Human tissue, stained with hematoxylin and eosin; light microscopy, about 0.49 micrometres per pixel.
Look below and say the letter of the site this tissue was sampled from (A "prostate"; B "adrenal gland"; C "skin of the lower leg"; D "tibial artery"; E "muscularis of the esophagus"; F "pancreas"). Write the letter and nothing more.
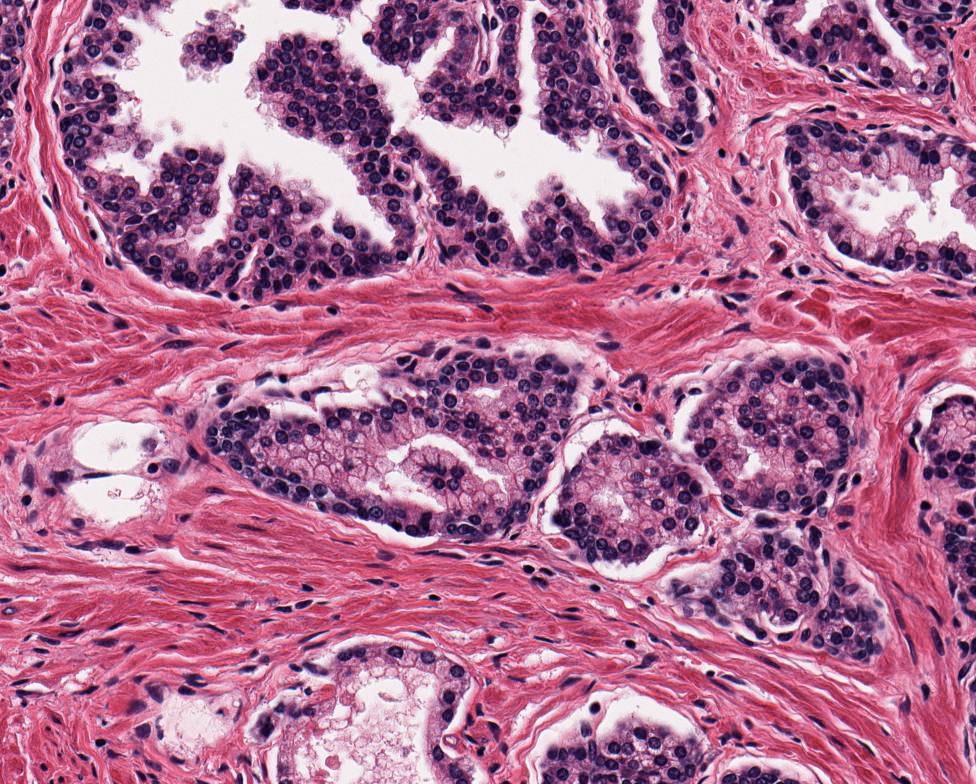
A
